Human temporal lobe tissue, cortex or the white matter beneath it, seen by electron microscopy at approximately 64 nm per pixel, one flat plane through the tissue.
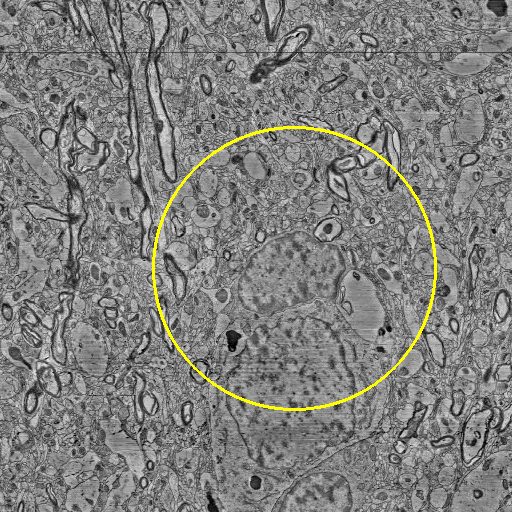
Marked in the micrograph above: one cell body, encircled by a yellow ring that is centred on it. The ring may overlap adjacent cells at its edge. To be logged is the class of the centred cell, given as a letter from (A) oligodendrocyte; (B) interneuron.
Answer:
A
